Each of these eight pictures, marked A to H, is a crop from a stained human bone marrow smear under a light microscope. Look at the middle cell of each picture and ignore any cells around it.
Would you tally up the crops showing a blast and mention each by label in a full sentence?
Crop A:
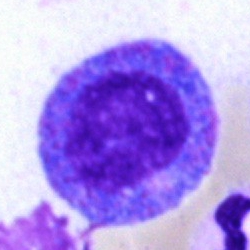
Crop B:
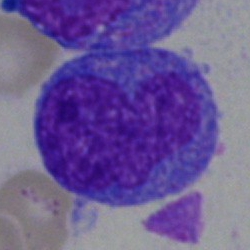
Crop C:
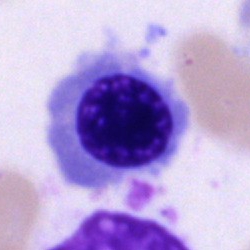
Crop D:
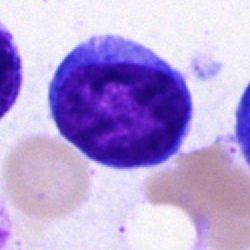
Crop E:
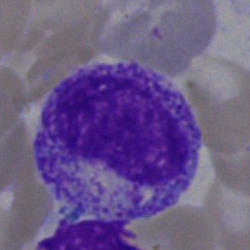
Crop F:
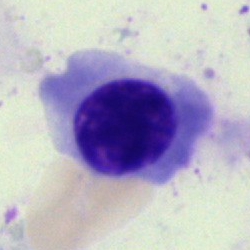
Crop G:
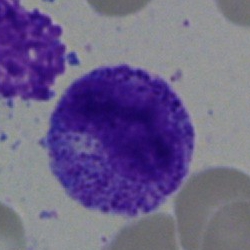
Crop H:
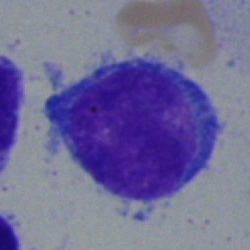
Of all the crops, three show blasts: B, D and H.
